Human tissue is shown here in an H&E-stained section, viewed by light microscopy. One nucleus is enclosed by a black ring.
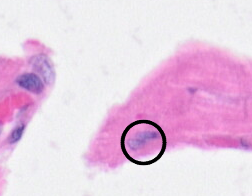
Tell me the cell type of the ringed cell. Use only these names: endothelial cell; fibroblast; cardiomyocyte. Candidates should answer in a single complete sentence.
As classified here, the ringed cell is a cardiomyocyte.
